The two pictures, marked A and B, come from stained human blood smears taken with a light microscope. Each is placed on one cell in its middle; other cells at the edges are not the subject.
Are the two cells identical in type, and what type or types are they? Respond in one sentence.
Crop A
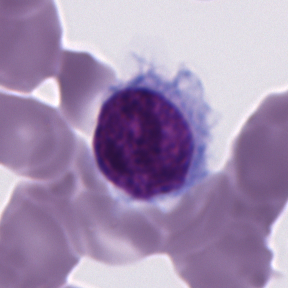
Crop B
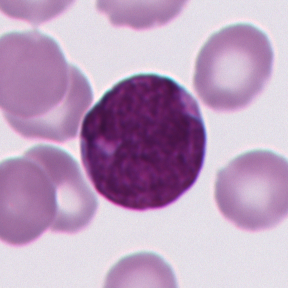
No: a hairy cell sits in crop A, and a myeloblast sits in crop B.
